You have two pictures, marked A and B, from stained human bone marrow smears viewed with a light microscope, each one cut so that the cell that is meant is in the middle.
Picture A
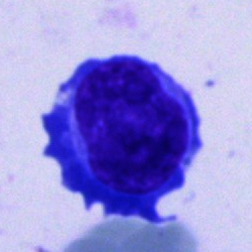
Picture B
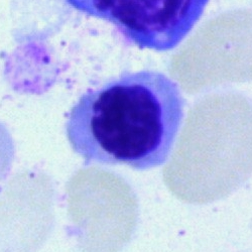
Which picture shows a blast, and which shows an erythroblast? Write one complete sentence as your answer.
Picture A is of a blast, and picture B is of an erythroblast.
